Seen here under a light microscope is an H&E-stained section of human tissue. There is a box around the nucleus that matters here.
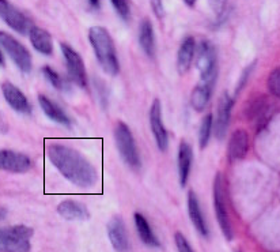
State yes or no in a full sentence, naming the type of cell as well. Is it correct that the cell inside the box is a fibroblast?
Yes, the cell inside the box counts as a fibroblast in this tissue.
